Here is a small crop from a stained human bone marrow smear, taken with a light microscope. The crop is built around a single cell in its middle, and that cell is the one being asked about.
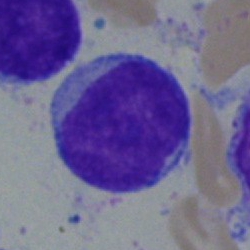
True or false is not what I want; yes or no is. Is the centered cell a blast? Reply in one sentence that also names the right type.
Yes, the cell sitting in the center is a blast.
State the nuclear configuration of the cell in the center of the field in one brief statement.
There is one compact nucleus, and its shape is round, oval or kidney-like.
